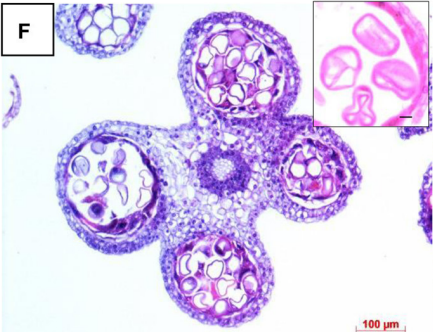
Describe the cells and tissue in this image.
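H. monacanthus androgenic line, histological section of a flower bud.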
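A cross-section of an anther shows four pollen sacs arranged around a central strand of dark cells. The sacs are crowded with pale, angular, empty-looking cells whose walls appear folded and collapsed rather than round and filled. The inset shows such collapsed pink-walled grains without dense contents.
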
